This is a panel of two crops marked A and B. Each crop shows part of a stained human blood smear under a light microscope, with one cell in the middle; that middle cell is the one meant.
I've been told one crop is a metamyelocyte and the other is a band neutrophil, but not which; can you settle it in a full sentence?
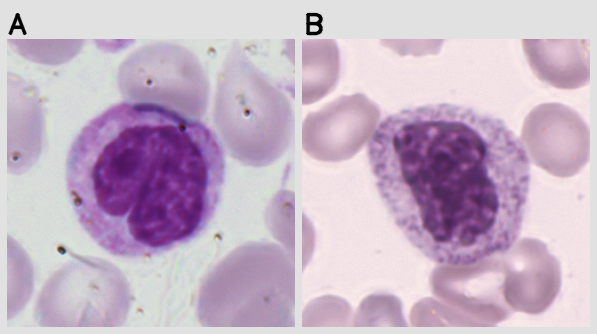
Displayed in crop A is a band neutrophil, while crop B displays a metamyelocyte.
